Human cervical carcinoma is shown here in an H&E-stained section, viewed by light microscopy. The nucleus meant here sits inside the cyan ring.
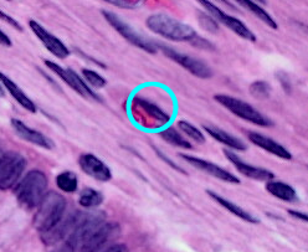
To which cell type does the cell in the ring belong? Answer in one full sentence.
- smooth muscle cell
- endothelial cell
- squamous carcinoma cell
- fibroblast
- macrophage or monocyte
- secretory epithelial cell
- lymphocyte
In this tissue sample, the cell in the ring is an endothelial cell.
